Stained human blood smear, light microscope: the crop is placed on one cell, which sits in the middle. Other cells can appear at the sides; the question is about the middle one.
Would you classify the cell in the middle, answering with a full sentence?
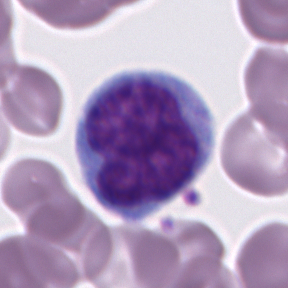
As for the cell in the middle, it is a monocyte.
